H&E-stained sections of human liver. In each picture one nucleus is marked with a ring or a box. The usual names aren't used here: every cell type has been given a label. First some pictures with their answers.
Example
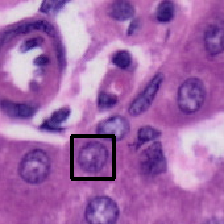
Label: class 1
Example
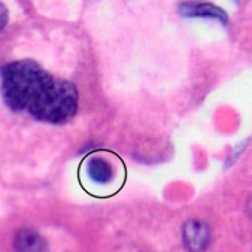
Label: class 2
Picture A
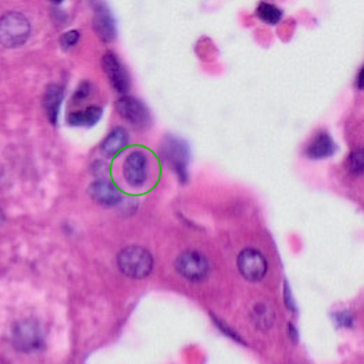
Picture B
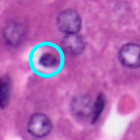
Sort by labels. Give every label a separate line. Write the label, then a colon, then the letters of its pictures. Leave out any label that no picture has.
class 1: A
class 2: B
